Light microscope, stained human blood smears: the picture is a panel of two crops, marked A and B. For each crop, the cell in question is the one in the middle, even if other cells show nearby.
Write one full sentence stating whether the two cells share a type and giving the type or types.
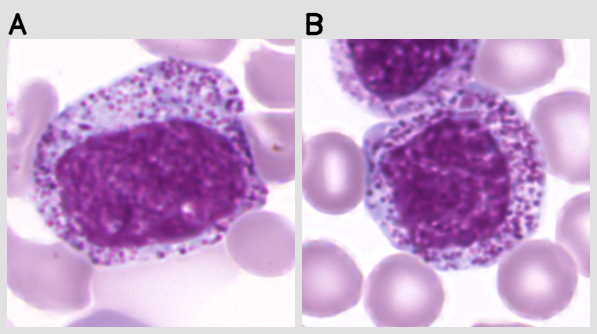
Yes, both crops show myelocytes as the central cells.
